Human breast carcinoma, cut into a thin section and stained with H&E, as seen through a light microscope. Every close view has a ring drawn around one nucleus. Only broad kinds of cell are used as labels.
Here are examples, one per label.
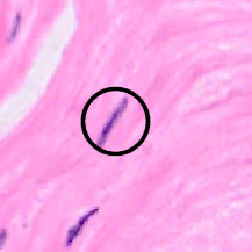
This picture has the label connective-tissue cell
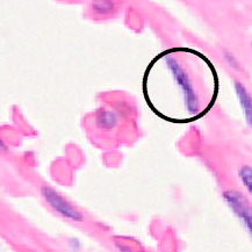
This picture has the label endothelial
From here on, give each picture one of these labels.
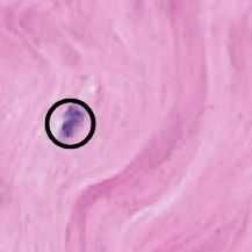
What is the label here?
connective-tissue cell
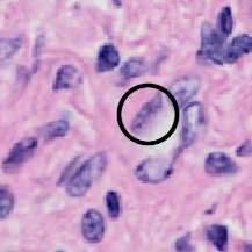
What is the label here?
endothelial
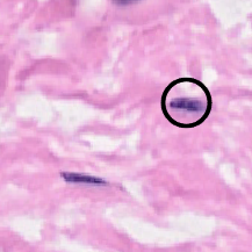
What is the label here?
connective-tissue cell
